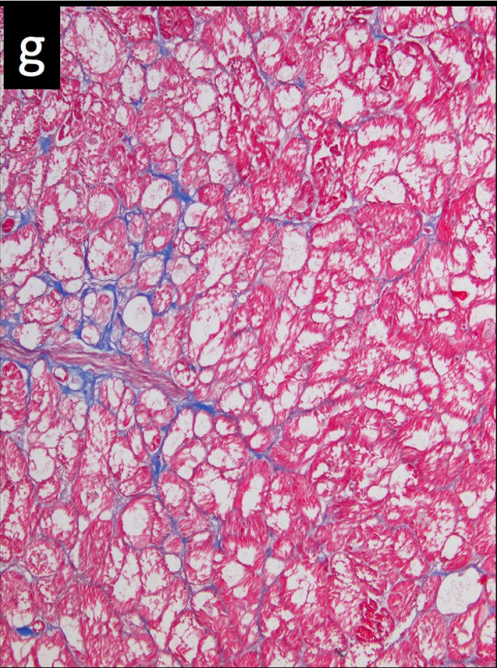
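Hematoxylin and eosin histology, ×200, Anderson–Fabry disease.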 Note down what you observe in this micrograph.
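Cardiac muscle cells cut in cross-section fill the field, packed closely together with red-pink fibrillar cytoplasm. Many of the cells are enlarged and contain large clear vacuoles, so that the red-staining material is displaced toward the cell rims and many cells appear pale or hollow in their centres.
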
